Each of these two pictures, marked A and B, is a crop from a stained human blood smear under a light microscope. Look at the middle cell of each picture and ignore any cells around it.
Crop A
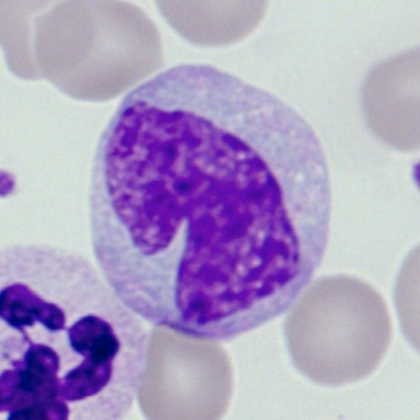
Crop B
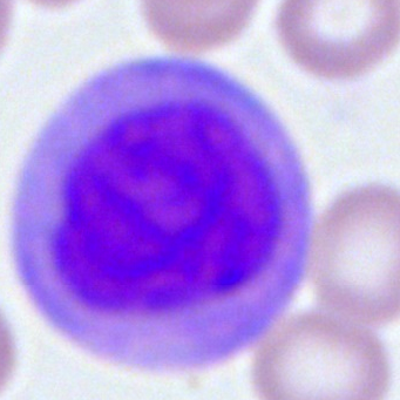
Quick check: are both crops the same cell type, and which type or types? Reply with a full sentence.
Yes, the cells in both crops are monocytes.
